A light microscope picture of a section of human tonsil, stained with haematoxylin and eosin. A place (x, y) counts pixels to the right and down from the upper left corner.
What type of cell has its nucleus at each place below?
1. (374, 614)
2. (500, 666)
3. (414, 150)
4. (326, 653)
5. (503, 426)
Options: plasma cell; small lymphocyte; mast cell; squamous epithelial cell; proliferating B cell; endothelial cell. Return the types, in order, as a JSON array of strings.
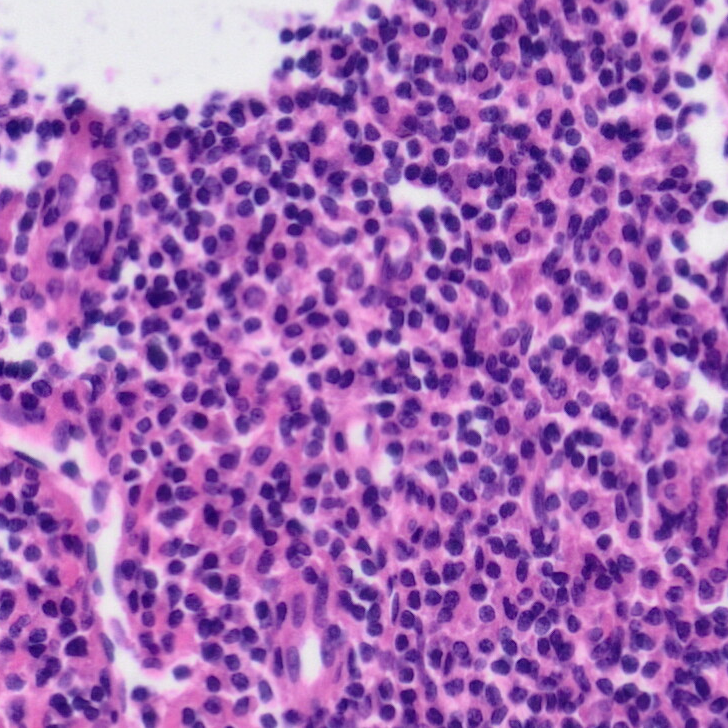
["small lymphocyte", "small lymphocyte", "small lymphocyte", "endothelial cell", "plasma cell"]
